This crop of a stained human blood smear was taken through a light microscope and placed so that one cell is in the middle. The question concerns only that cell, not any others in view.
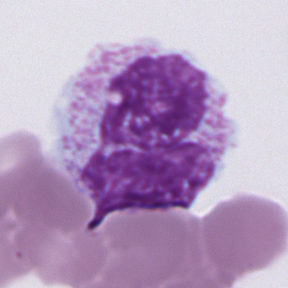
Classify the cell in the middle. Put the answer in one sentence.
Regarding the central cell, it is a band neutrophil.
